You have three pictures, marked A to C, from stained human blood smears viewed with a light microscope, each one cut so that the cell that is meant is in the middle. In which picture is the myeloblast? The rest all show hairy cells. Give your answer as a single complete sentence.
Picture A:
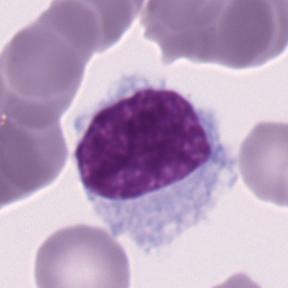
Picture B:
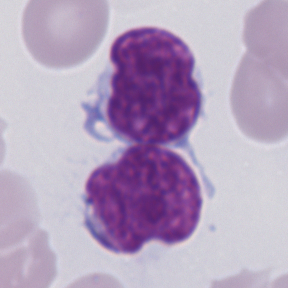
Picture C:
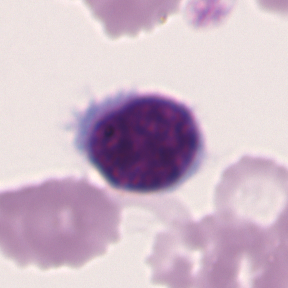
The cell in picture B is the myeloblast.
